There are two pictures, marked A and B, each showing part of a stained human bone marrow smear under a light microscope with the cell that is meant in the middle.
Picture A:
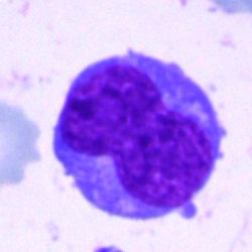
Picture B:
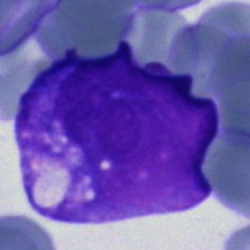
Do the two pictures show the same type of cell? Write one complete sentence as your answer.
Yes, both are blasts.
